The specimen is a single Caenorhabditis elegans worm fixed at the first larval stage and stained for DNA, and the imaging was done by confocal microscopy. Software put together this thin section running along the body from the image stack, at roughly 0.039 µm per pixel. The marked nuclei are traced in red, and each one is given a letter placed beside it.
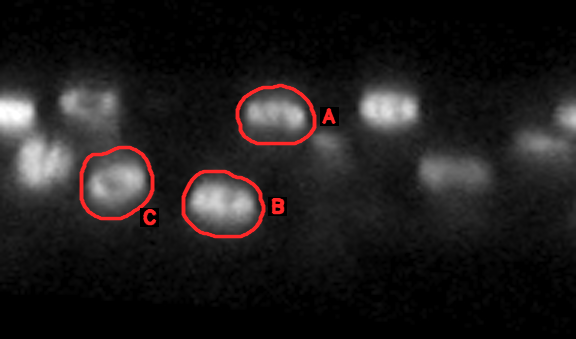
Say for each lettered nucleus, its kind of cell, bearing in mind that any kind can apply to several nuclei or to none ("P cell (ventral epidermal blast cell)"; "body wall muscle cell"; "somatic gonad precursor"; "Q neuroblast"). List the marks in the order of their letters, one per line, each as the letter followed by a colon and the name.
A: P cell (ventral epidermal blast cell)
B: body wall muscle cell
C: somatic gonad precursor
